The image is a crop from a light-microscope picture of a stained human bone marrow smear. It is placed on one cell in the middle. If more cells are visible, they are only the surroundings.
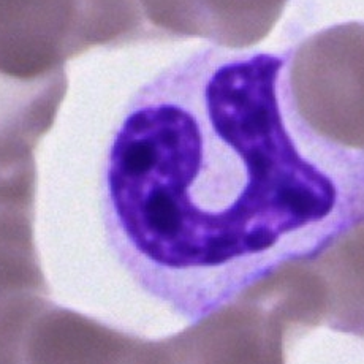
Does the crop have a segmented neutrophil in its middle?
no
